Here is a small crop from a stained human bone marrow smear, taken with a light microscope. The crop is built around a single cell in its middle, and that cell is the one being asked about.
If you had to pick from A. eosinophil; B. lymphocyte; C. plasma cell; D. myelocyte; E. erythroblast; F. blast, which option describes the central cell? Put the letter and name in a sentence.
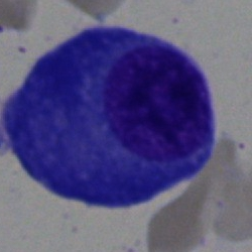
The centrally located cell is a plasma cell, making option C the correct choice.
